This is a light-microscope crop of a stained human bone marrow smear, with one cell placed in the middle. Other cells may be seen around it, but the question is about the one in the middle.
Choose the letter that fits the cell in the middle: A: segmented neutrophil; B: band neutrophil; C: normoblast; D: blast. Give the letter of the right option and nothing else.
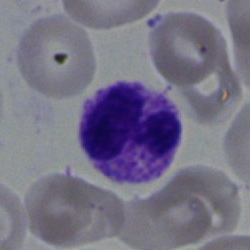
A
